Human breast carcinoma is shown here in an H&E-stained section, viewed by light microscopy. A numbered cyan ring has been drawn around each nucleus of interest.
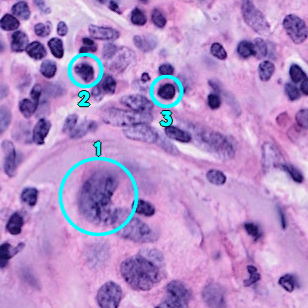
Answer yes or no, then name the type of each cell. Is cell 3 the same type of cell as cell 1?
No, cell 1 is a carcinoma cell, while cell 3 is a lymphocyte.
